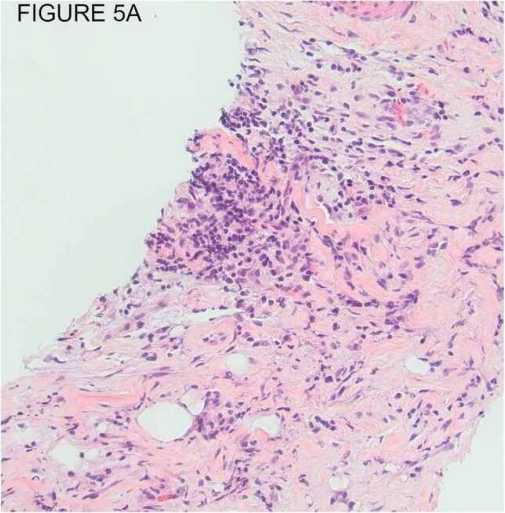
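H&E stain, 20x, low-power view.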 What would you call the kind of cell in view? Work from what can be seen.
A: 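A cluster of small cells with round dark nuclei lies near the left edge. Small round dark nuclei are scattered within the pink fibrous tissue.
Chronic inflammatory cells.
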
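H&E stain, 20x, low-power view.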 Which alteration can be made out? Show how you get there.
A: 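Dense fibrosis. Much of the tissue is pale pink collagen bundles.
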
